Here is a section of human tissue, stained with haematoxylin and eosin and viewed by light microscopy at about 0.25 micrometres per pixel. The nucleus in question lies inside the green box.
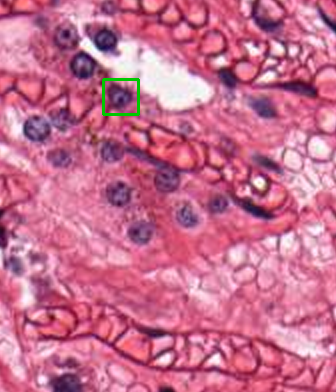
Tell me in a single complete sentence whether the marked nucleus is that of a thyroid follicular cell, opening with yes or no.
Yes, the cell whose nucleus is marked is a thyroid follicular cell.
